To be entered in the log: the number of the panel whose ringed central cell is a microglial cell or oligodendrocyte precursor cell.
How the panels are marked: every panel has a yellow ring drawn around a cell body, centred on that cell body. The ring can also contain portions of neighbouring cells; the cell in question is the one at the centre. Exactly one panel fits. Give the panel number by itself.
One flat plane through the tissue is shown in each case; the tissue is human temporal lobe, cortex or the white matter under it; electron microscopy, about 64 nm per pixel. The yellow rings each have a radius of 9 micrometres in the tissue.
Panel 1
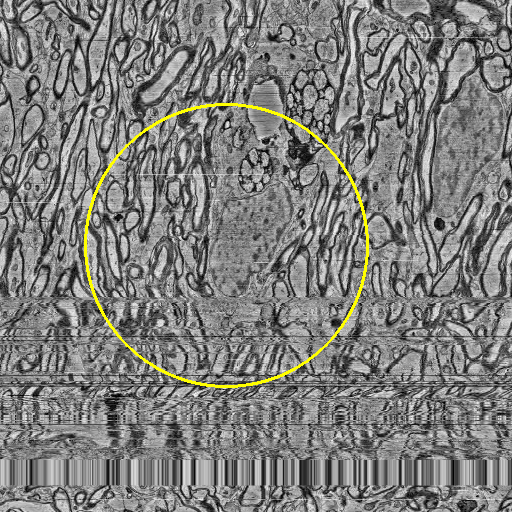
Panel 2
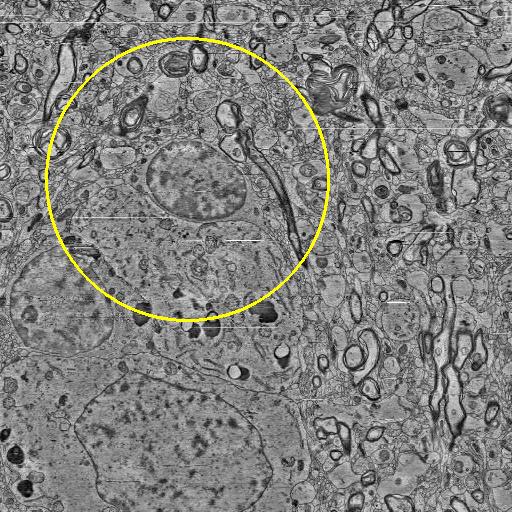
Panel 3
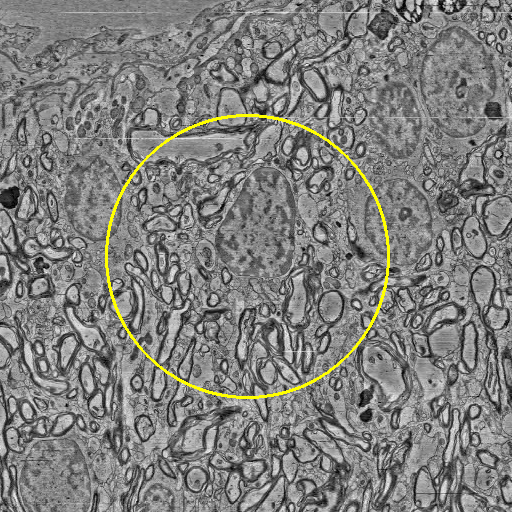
3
